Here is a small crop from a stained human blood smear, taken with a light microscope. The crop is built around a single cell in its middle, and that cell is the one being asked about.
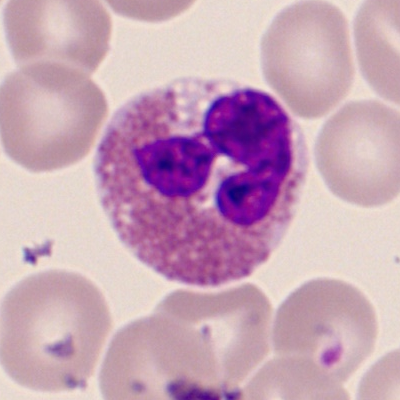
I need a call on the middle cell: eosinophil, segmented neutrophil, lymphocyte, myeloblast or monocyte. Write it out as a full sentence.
Whatever else lies nearby, the middle cell is an eosinophil.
